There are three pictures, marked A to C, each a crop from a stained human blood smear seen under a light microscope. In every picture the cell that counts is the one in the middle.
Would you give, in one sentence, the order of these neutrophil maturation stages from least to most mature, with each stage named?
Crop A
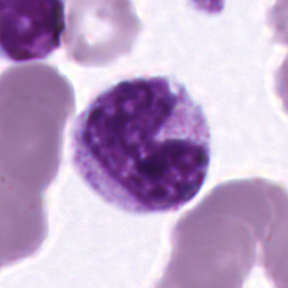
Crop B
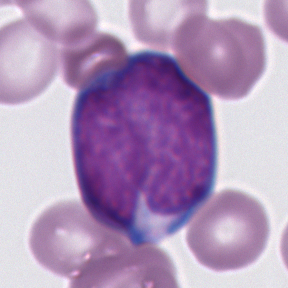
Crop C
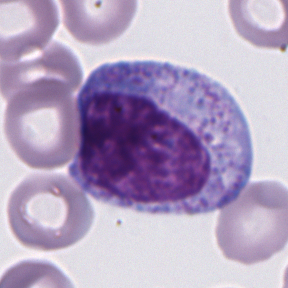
In order of rising maturity, the sequence is crop B (a myeloblast), crop C (a promyelocyte) and crop A (a metamyelocyte).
